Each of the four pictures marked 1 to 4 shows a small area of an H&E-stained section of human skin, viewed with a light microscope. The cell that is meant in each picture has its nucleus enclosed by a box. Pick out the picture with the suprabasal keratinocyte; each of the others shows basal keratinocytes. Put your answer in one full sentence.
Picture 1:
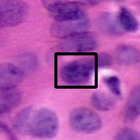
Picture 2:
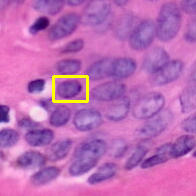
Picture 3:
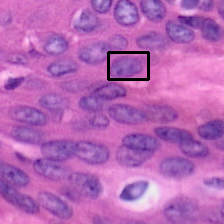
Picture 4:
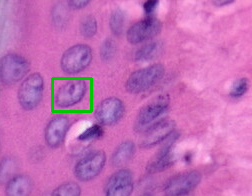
The suprabasal keratinocyte is the one in picture 4.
